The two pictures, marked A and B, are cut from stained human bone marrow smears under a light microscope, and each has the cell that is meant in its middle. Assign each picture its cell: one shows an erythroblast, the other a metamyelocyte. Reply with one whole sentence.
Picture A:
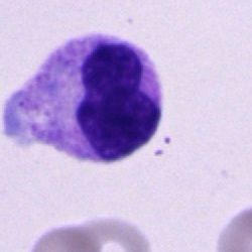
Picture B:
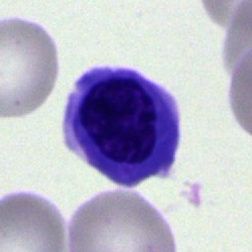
It is picture A that shows a metamyelocyte, and picture B that shows an erythroblast.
